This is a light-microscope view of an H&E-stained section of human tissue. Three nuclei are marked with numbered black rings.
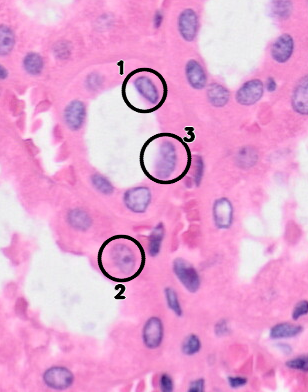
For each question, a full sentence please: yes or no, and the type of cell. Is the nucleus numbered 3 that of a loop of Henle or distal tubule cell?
Yes, the number 3 belongs to a loop of Henle or distal tubule cell.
